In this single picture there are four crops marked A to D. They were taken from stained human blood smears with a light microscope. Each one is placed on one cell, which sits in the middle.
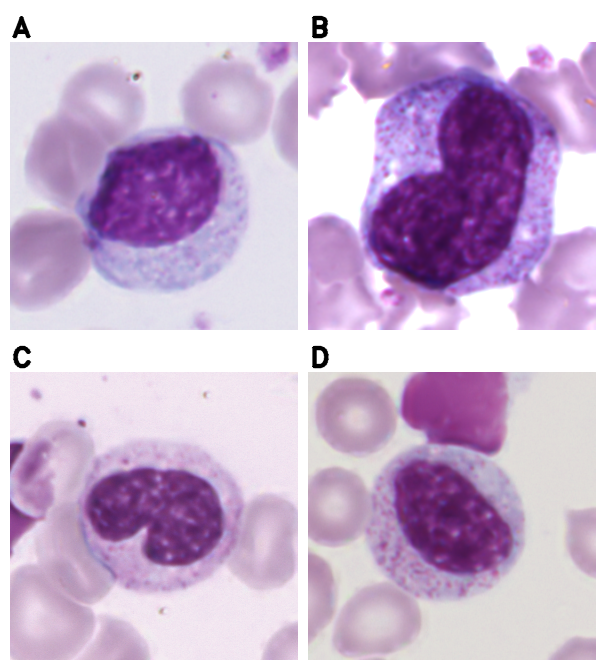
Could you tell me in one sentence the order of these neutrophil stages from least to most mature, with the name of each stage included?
Listed from least to most mature, the crops read crop B (a promyelocyte), crop A (a myelocyte), crop D (a metamyelocyte) and crop C (a band neutrophil).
